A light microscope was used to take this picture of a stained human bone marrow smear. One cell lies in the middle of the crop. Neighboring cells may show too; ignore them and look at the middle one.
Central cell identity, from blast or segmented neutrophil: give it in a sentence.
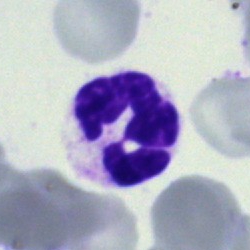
The cell in the middle of the field of view is a segmented neutrophil.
